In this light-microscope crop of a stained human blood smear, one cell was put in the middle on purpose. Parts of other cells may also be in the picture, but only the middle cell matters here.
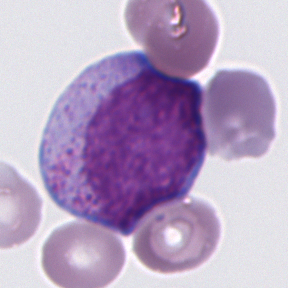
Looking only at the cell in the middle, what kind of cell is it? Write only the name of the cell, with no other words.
atypical promyelocyte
